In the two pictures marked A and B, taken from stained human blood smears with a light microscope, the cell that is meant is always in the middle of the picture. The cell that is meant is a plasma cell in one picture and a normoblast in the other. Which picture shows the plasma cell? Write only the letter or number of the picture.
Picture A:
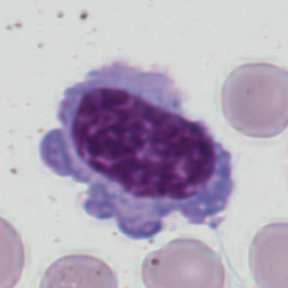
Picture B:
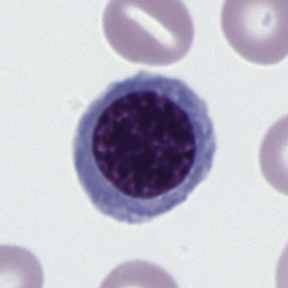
A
